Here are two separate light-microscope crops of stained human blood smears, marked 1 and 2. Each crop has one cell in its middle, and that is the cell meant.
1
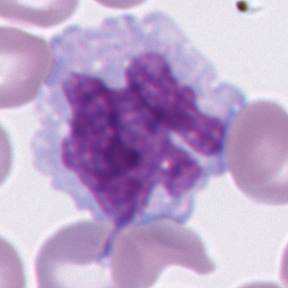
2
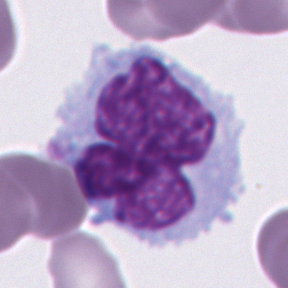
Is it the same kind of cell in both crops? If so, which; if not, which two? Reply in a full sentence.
Yes, both crops show monocytes, to put it briefly.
